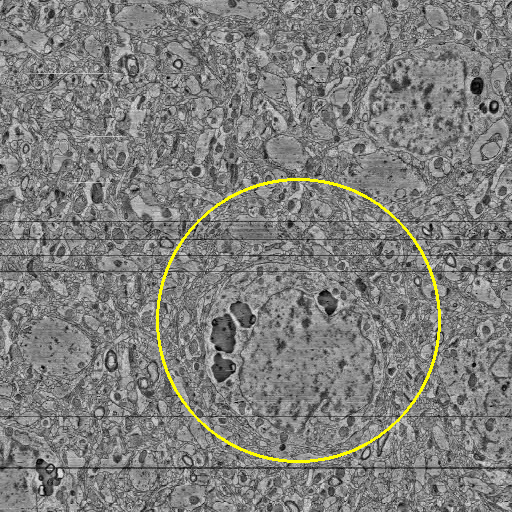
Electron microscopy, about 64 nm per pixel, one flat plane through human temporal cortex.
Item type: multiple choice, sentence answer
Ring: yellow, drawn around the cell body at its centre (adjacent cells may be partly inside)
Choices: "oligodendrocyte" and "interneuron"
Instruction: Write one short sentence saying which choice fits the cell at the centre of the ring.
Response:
This ring is drawn around an interneuron.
